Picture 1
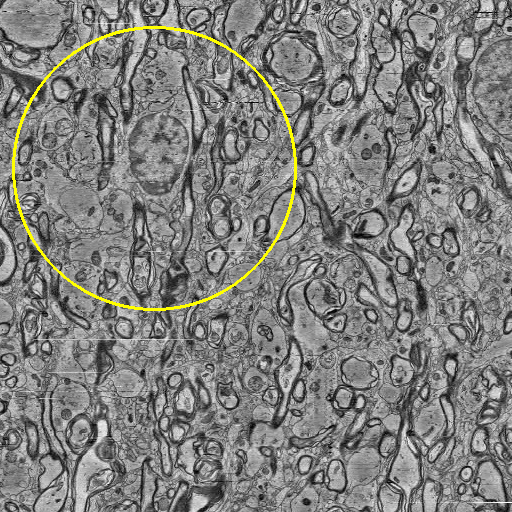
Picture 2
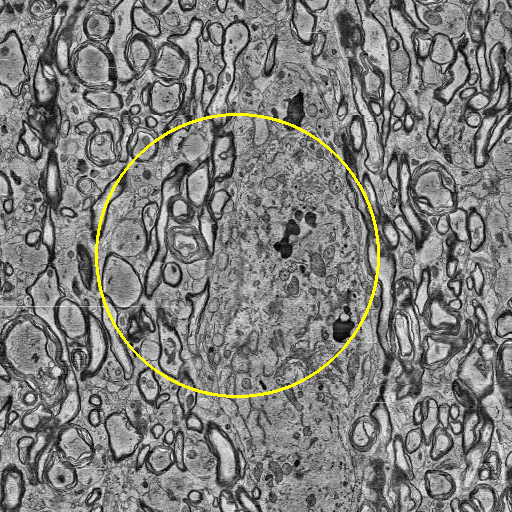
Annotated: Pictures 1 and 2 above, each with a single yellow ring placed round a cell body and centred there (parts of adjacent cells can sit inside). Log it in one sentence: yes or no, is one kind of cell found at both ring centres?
Yes, the ring centres of the two pictures hold cells of one kind.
